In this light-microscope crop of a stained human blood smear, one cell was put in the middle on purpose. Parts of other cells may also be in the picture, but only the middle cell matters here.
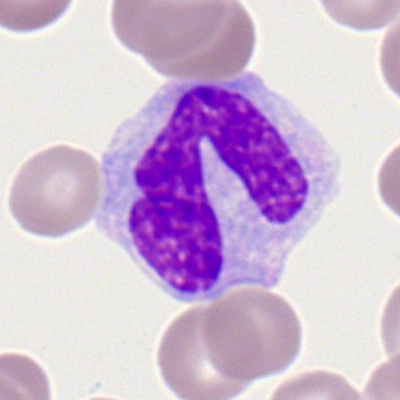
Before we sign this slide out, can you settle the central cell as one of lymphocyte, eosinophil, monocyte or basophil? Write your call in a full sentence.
In the centre of this crop there is a monocyte.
